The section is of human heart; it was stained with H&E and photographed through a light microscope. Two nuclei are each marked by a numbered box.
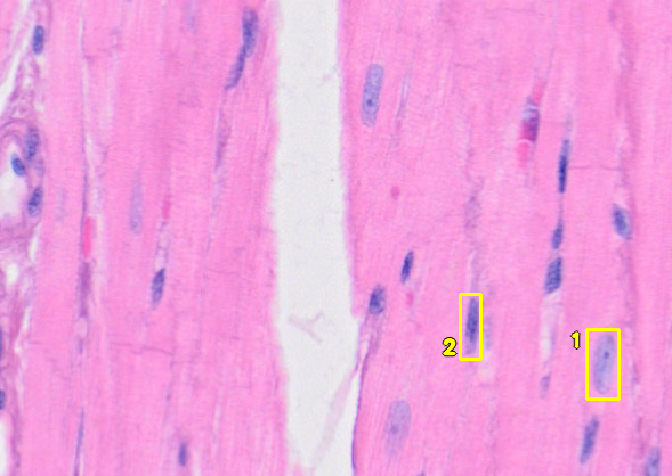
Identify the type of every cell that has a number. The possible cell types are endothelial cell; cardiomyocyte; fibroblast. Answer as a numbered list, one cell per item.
1. cardiomyocyte
2. endothelial cell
